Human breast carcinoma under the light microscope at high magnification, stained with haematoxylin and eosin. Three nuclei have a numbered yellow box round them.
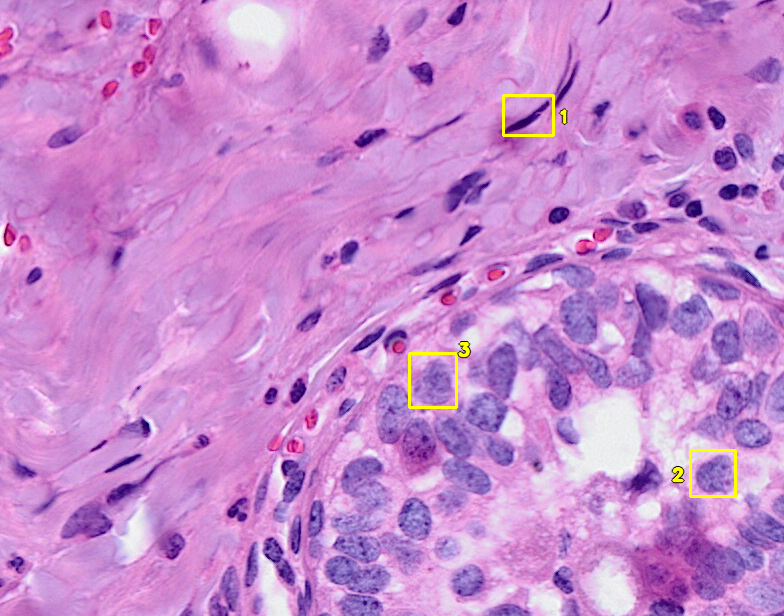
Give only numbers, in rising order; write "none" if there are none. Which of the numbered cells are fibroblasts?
1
